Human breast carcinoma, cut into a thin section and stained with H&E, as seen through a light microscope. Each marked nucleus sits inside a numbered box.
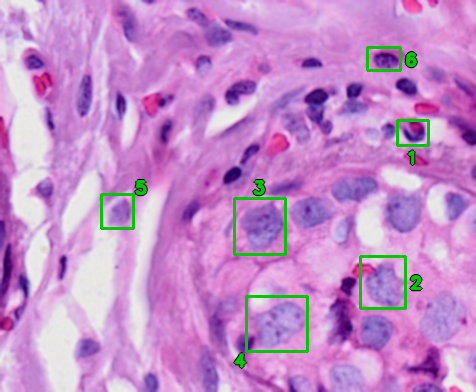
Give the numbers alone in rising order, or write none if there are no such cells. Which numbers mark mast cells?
6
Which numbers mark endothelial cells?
1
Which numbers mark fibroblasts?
5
